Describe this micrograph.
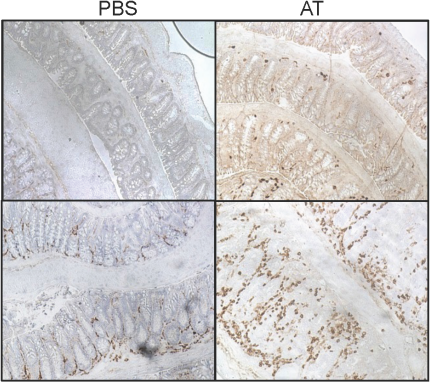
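Four sections of colonic mucosa show rows of straight, unbranched crypts resting on a thin muscular layer, with no villi. Brown-stained cells with small round nuclei are scattered in the lamina propria between the crypts and beneath them. In some sections these brown cells are few, while in others they are numerous and crowd the lamina propria and the tissue below the crypts.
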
